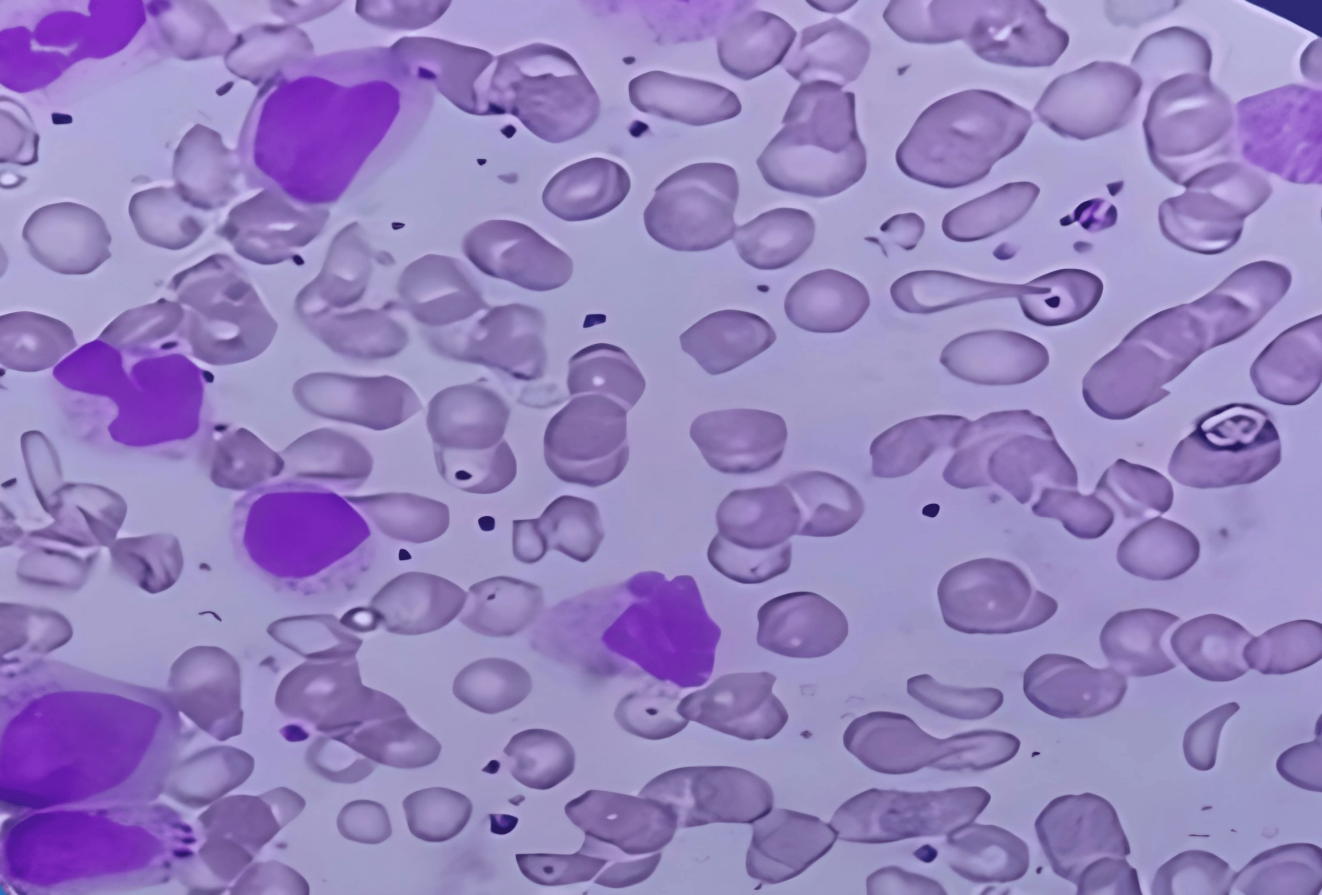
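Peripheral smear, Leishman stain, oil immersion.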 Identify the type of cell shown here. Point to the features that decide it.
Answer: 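Blast cells. Several large cells with large purple nuclei filling most of the cell. These cells are much larger than the surrounding red cells.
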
